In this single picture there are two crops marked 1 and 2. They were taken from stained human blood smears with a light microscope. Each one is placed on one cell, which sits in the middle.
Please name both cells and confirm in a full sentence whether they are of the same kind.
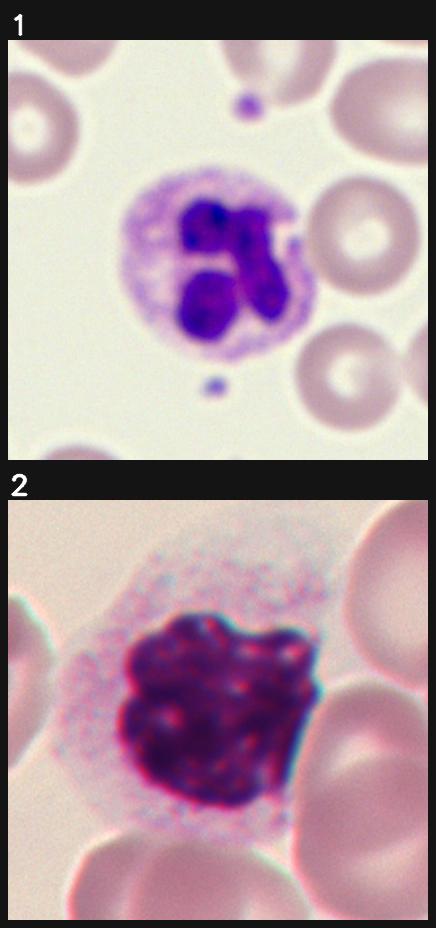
Yes, both crops do show segmented neutrophils in the middle.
